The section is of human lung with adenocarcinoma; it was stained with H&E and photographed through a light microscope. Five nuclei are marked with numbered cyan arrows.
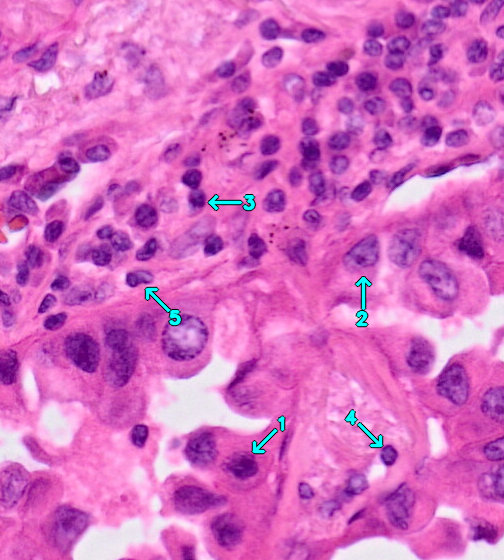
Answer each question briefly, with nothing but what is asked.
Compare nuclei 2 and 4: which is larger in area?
2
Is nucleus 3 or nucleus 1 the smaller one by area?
3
